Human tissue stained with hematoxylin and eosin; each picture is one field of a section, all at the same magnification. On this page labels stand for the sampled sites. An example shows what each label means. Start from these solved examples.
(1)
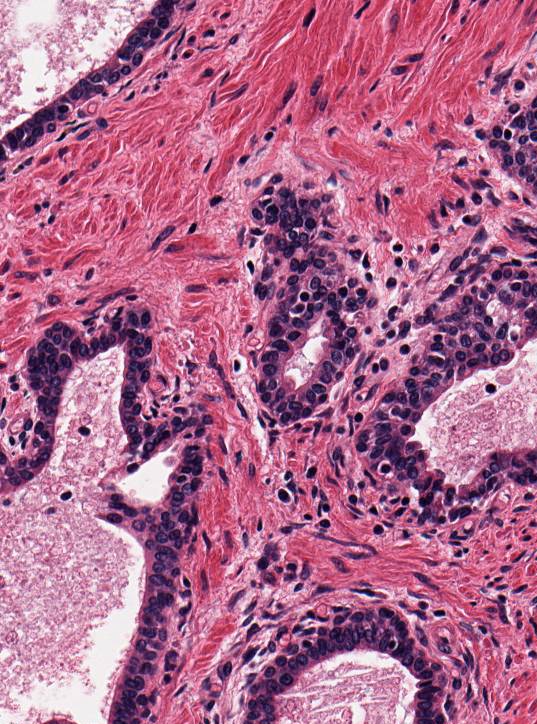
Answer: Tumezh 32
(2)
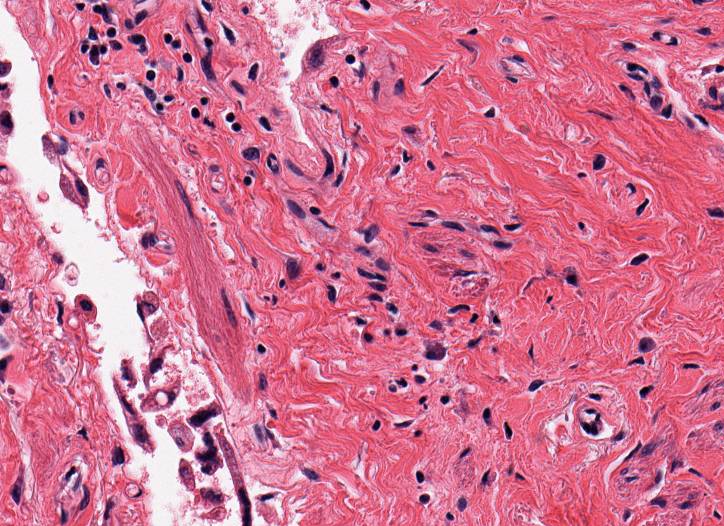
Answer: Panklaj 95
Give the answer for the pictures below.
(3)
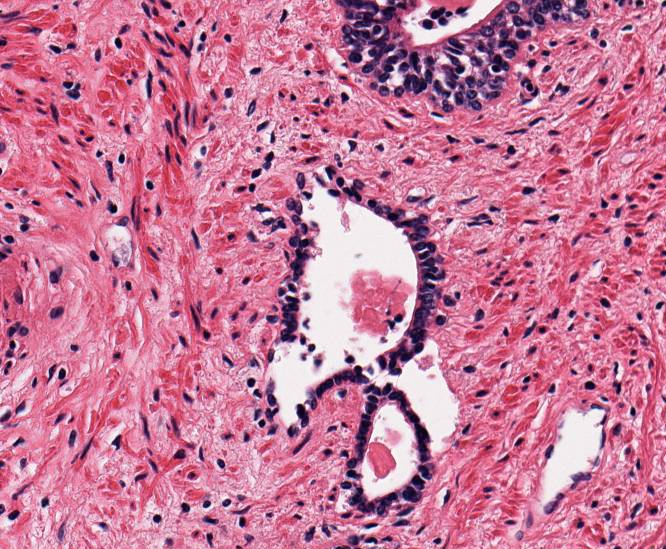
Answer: Tumezh 32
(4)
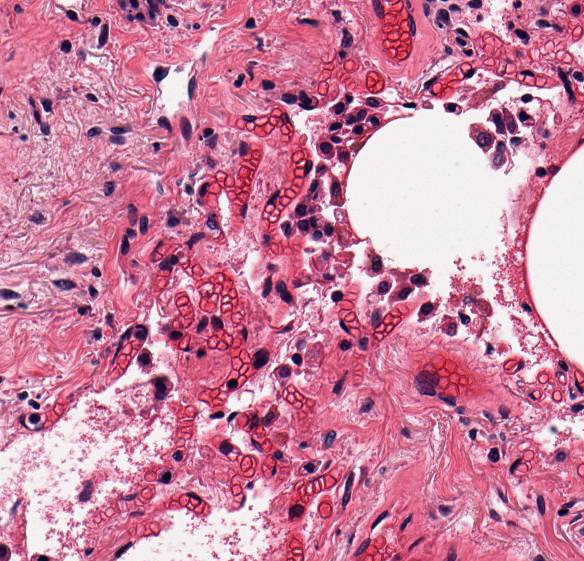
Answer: Panklaj 95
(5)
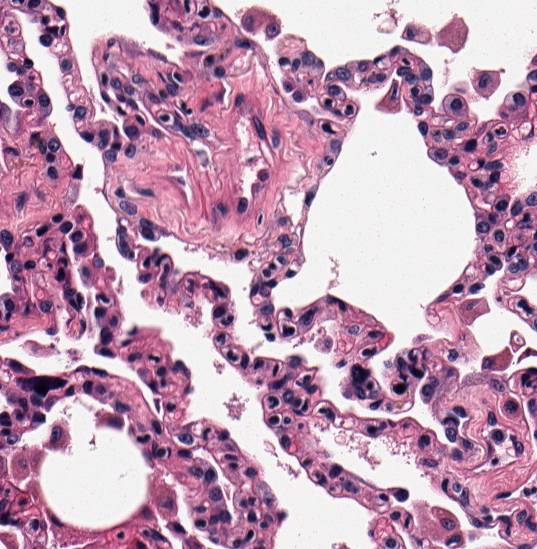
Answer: Panklaj 95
